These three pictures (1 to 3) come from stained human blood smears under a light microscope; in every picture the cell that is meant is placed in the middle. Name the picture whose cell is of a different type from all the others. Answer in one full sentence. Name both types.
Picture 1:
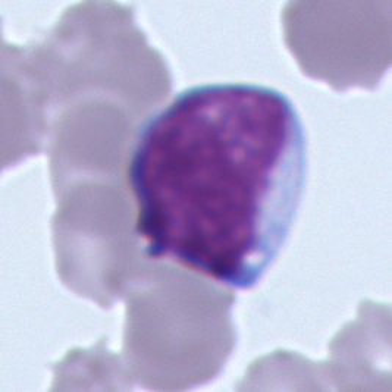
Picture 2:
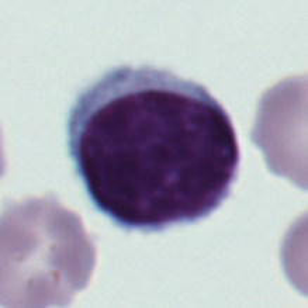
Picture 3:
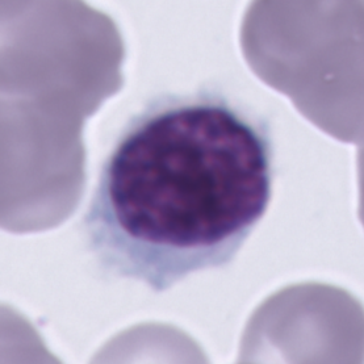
Picture 3 is the odd one out: it shows a hairy cell, while the others show typical lymphocytes.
